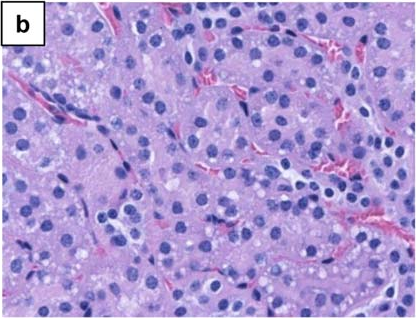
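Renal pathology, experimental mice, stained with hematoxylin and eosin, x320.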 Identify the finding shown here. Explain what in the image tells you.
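Many small round clear spaces lie within the pink cytoplasm of the tubular epithelial cells. The vacuoles are scattered widely across the tubules of the field. The answer: vacuolar degeneration.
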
